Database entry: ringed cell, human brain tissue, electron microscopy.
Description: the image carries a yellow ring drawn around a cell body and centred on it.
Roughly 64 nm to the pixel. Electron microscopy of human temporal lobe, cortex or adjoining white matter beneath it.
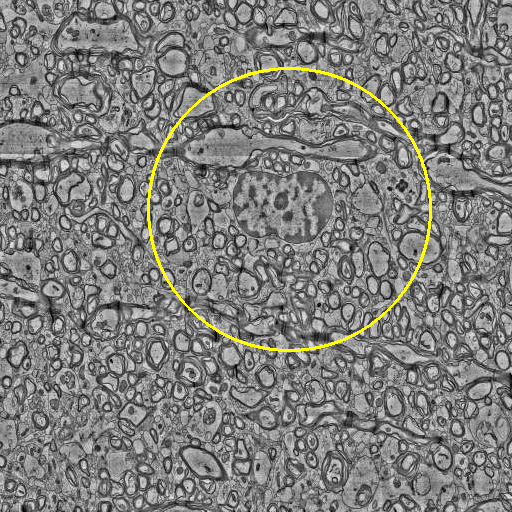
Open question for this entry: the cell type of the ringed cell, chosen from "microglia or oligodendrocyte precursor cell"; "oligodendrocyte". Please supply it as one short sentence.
The ringed cell is a microglial cell or oligodendrocyte precursor cell.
